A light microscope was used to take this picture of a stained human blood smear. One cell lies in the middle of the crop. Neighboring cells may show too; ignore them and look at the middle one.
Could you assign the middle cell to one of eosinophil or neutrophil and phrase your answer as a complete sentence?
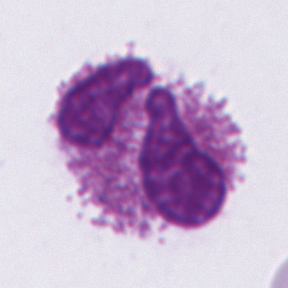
The target cell in the middle of the crop is an eosinophil.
